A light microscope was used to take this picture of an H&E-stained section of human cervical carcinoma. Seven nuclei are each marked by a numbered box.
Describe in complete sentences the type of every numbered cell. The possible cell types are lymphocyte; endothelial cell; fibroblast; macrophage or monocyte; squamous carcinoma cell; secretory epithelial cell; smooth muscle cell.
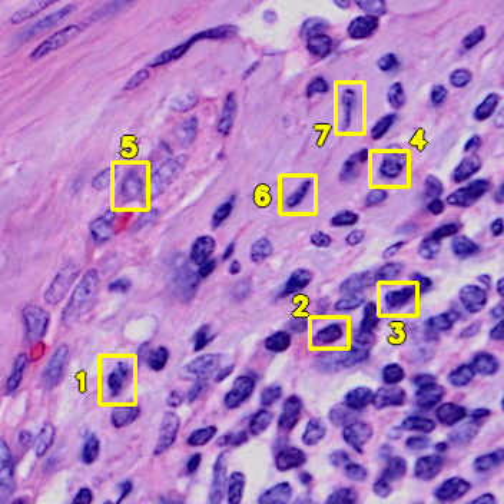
Cells 1, 2, 3 and 4 are lymphocytes. Cell 5 is an endothelial cell. Cells 6 and 7 are fibroblasts.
